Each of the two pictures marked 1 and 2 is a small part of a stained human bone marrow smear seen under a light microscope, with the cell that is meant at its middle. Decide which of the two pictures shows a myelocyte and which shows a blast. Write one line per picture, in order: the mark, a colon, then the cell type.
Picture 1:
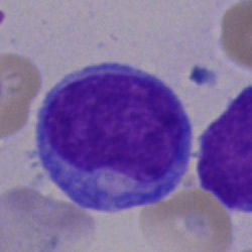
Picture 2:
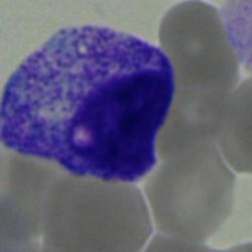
1: blast
2: myelocyte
